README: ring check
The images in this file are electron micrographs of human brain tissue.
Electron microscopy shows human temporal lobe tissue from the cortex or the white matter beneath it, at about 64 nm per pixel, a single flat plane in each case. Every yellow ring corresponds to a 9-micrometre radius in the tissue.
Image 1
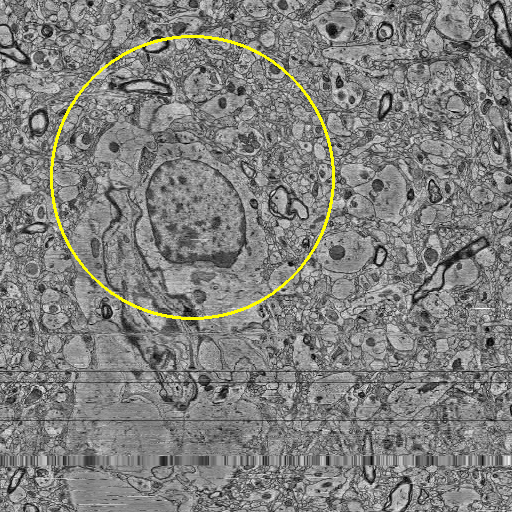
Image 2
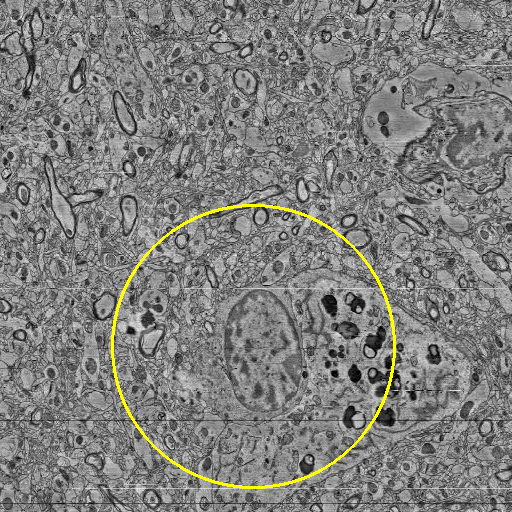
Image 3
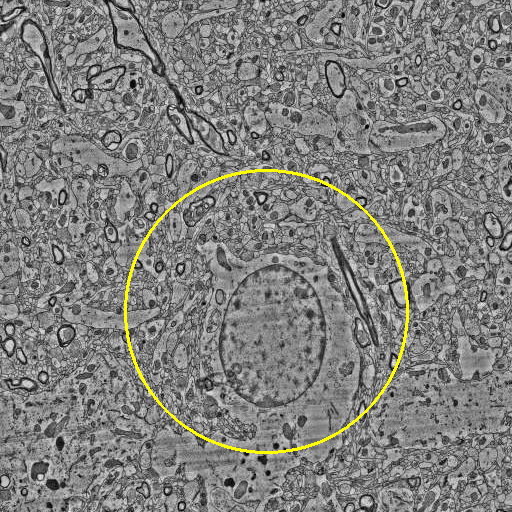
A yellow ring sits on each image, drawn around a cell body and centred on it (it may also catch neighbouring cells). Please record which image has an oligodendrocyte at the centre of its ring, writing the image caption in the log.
Image 2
